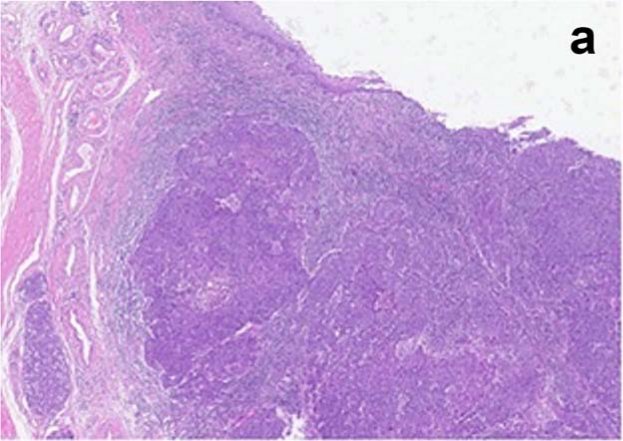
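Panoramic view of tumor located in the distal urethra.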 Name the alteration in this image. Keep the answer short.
Infiltration of connective tissue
